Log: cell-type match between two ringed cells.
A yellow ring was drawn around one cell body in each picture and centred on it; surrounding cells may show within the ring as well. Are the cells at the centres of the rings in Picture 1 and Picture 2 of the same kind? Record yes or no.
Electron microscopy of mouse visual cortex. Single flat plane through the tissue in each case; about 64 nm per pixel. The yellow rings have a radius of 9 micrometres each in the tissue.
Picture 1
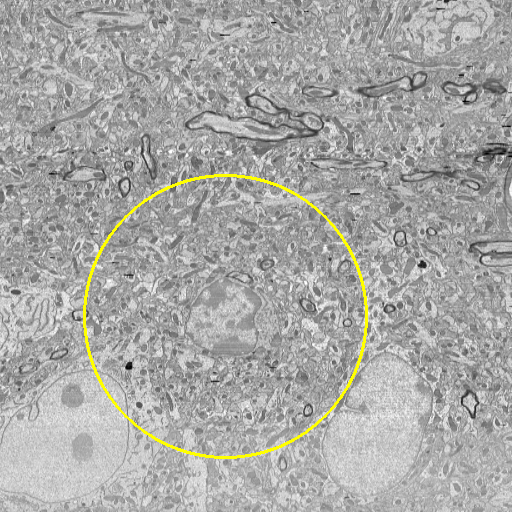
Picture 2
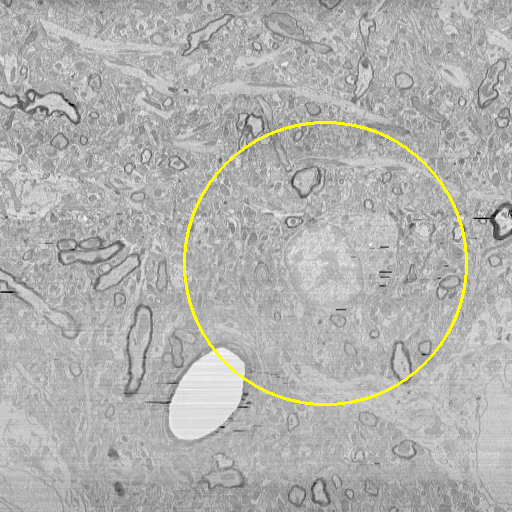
yes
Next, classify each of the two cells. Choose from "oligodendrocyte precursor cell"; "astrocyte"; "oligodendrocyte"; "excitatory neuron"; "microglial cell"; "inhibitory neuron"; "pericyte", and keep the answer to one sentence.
Each one of the two ringed cells is an oligodendrocyte.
